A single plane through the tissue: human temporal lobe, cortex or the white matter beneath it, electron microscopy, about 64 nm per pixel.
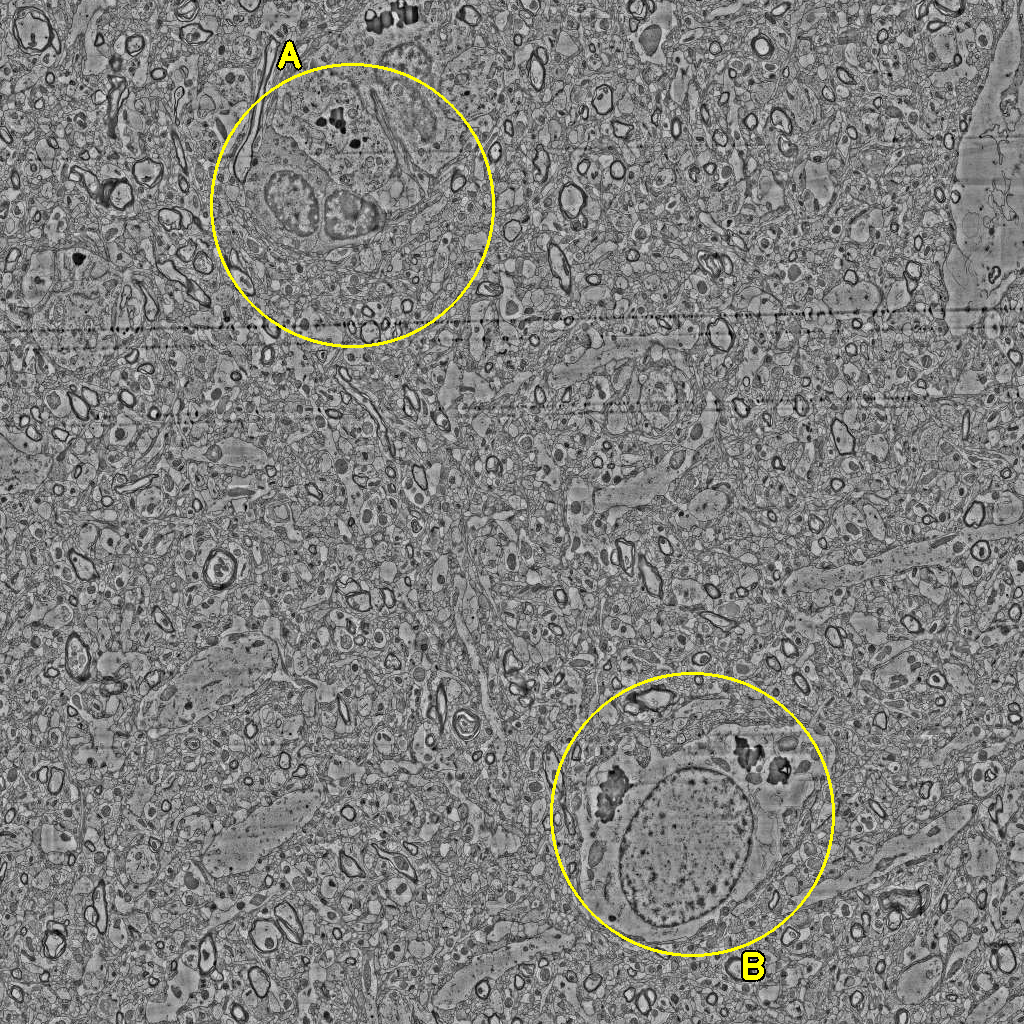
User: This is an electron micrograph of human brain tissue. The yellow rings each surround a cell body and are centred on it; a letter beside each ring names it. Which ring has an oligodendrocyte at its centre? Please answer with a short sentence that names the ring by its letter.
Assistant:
Ring A has it at its centre.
